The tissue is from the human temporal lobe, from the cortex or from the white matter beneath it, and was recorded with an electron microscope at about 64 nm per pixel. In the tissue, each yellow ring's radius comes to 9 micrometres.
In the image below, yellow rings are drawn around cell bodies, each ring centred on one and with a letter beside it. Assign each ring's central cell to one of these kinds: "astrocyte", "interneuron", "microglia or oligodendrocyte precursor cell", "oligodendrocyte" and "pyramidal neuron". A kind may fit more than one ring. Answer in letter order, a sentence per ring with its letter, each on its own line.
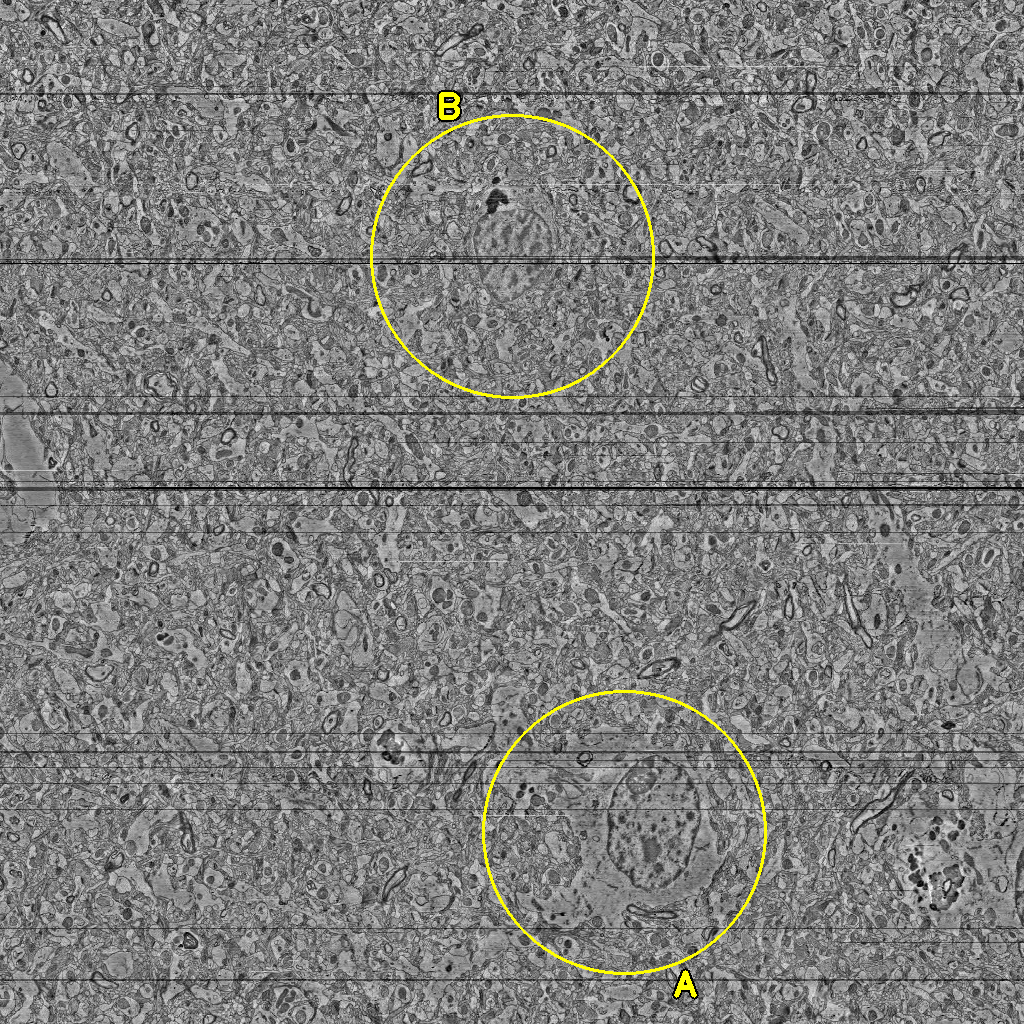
The central cell of ring A is an astrocyte.
The central cell of ring B is an oligodendrocyte.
